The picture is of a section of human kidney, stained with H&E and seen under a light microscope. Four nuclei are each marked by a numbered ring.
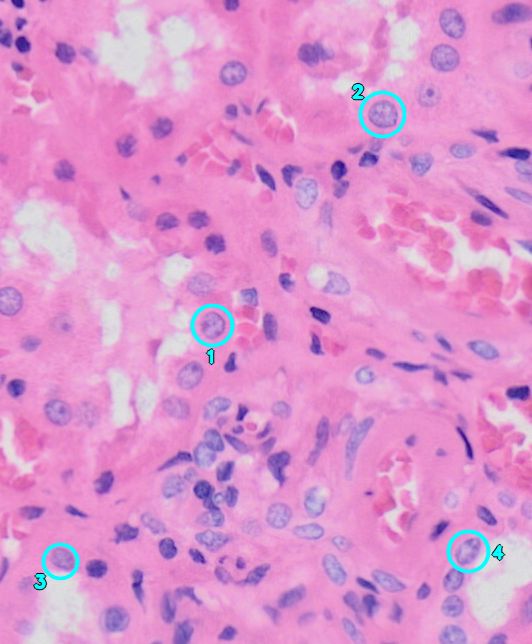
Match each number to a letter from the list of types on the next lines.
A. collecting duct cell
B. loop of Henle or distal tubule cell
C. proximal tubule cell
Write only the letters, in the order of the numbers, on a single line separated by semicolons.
C; C; B; A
